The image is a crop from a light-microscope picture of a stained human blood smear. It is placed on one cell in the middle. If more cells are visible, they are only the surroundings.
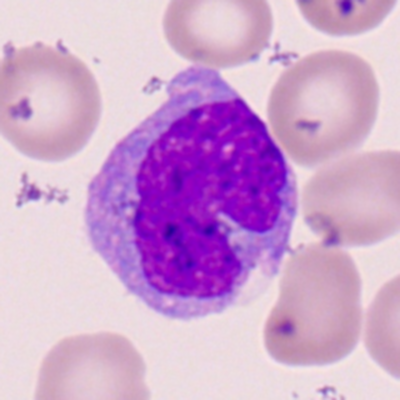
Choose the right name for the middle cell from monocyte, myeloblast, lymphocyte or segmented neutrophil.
monocyte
